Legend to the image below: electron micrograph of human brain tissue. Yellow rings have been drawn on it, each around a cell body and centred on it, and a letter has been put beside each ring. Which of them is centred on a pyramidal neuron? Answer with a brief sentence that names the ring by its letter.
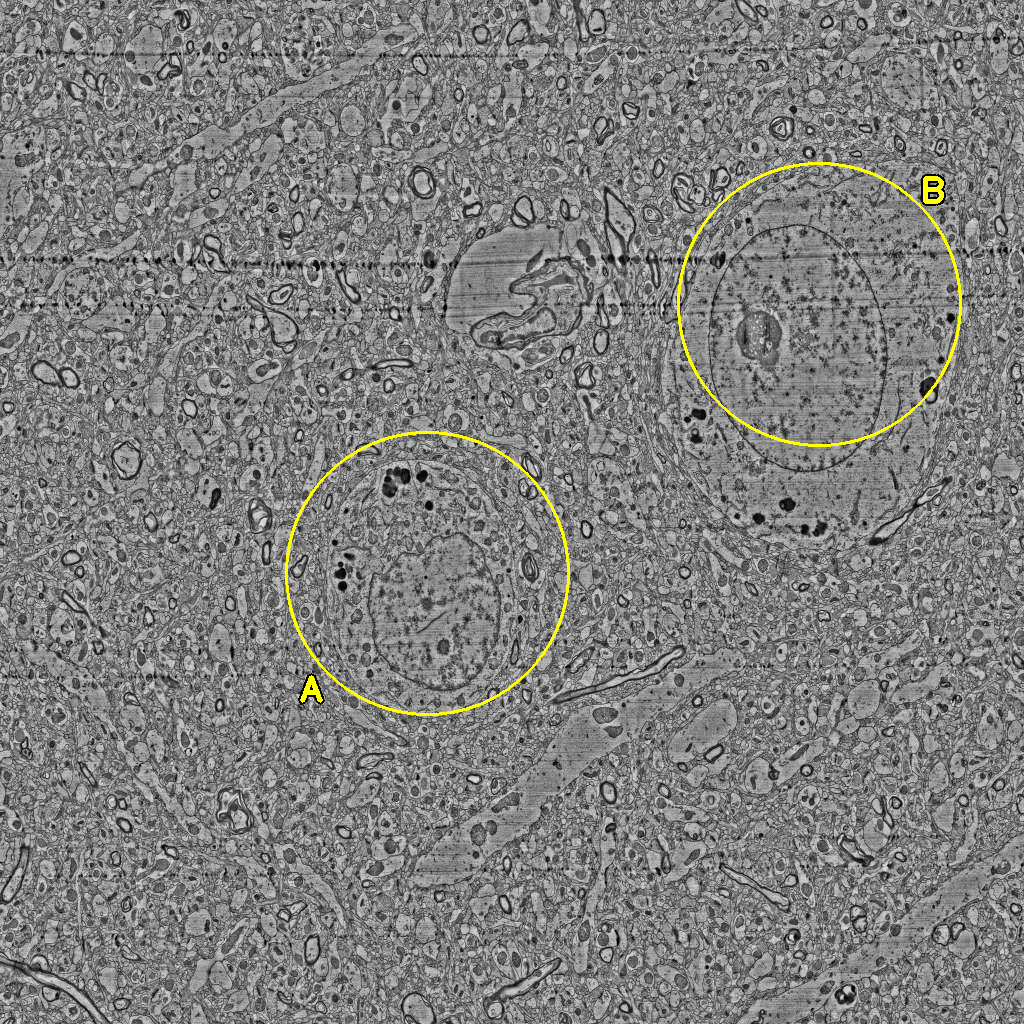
It is the ring lettered B.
